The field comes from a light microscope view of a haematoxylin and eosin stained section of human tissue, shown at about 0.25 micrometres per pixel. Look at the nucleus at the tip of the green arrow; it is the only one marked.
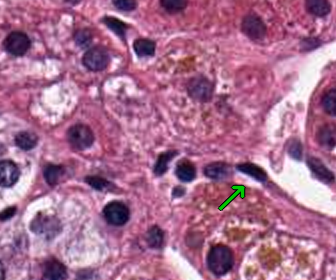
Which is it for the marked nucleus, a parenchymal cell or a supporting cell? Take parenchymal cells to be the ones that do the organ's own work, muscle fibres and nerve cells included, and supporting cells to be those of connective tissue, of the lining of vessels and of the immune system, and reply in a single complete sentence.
What the marked nucleus belongs to is a supporting cell.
